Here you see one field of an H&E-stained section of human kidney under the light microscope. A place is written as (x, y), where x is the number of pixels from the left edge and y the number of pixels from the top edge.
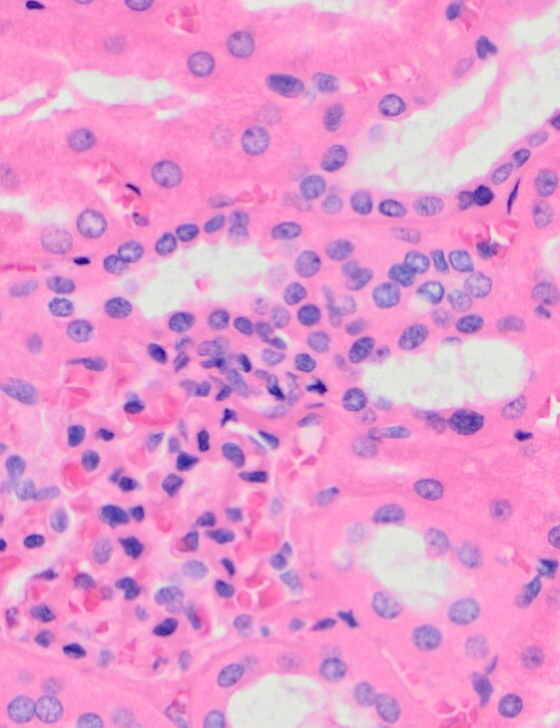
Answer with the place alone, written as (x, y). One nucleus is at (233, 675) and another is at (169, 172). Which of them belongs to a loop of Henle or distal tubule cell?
(233, 675)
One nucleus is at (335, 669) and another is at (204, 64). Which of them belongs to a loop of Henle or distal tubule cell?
(335, 669)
